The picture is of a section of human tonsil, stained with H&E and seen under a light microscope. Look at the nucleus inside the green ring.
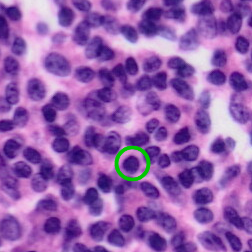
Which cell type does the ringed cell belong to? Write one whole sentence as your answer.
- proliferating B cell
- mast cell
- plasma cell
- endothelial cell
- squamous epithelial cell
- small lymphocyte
Just put down that the ringed cell is a small lymphocyte.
